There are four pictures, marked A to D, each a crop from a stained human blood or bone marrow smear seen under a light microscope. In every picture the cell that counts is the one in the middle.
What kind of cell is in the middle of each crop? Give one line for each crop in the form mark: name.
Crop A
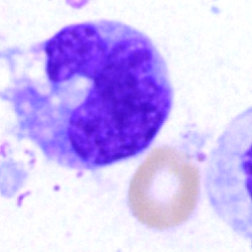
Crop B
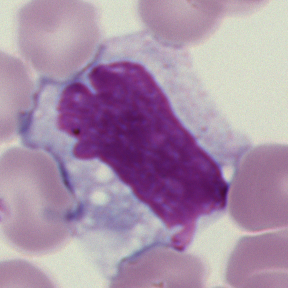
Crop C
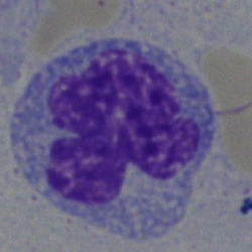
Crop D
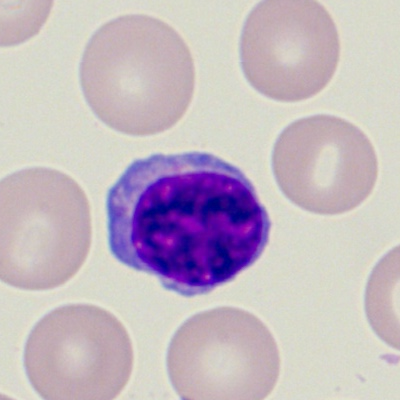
A: monocyte
B: monocyte
C: monocyte
D: lymphocyte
